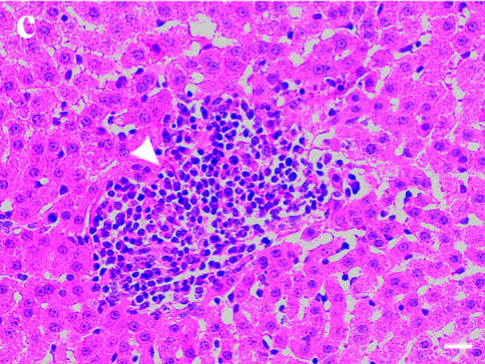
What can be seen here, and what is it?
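Liver parenchyma of pink-staining polygonal hepatocytes with round, pale nuclei, arranged in plates separated by sinusoids. Near the center lies a dense, roughly oval focal aggregate of small round cells with dark purple nuclei and scant cytoplasm, interrupting the hepatocyte plates. These infiltrating leukocytes are much smaller than the surrounding hepatocytes and are tightly packed, standing out sharply against the pink background of the liver tissue.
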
